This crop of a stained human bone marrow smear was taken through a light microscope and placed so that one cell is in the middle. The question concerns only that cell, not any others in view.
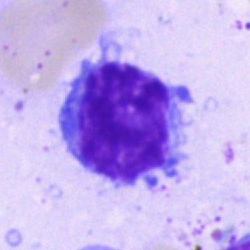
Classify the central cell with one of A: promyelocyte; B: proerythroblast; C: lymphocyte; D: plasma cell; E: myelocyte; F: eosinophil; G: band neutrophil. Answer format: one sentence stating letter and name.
Since the middle cell is a lymphocyte, option C is the right one.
